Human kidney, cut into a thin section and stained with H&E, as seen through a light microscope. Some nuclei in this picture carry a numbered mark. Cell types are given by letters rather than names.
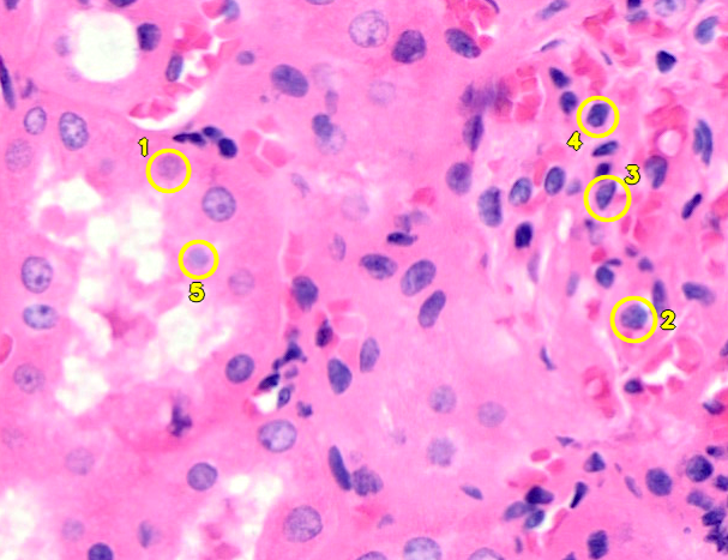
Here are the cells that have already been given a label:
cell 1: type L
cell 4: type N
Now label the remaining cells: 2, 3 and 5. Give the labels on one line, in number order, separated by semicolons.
type N; type N; type L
